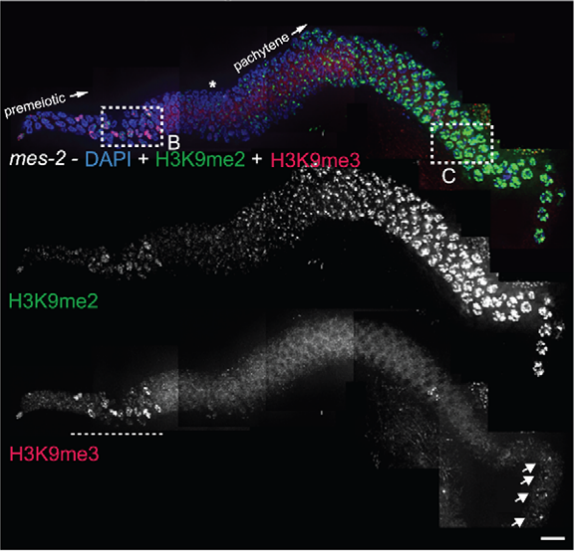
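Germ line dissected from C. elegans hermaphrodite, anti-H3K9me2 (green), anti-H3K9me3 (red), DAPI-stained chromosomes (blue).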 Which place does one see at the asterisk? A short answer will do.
Meiotic prophase entry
